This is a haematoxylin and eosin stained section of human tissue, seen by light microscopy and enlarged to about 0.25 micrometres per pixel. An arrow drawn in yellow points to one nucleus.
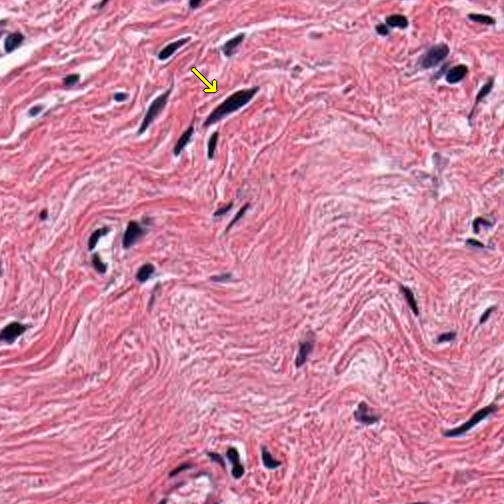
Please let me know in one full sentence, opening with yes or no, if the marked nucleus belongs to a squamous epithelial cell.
No, the nucleus that is marked belongs to a supporting cell rather than to a squamous epithelial cell.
